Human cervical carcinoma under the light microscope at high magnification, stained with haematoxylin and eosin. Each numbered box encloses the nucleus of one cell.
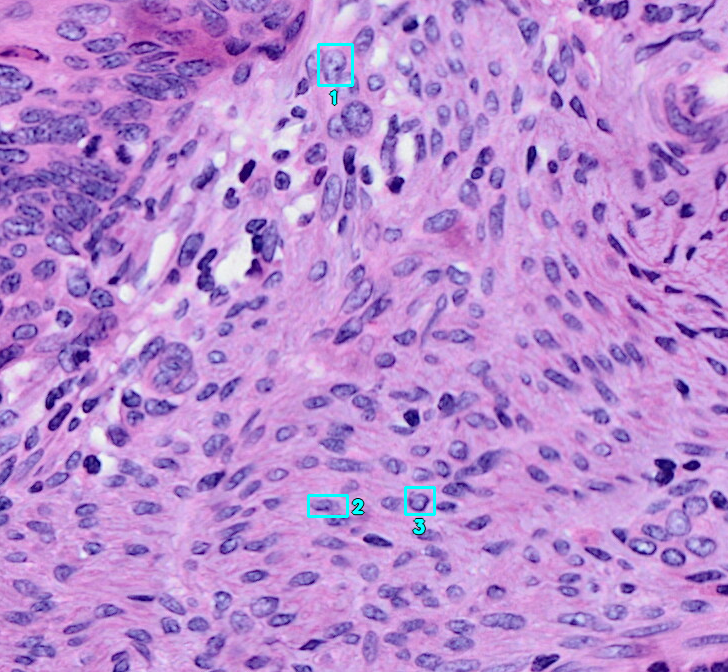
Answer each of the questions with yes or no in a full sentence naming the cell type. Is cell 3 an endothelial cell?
No, it is a smooth muscle cell that is marked with number 3, not an endothelial cell.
